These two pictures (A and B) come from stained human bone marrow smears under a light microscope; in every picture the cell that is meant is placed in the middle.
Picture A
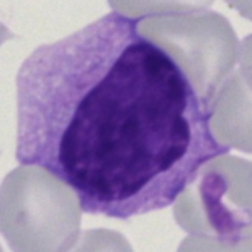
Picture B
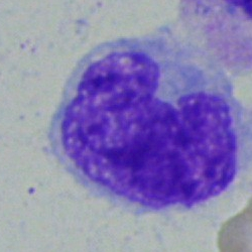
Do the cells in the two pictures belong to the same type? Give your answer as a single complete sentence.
Yes, the two pictures both show monocytes.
